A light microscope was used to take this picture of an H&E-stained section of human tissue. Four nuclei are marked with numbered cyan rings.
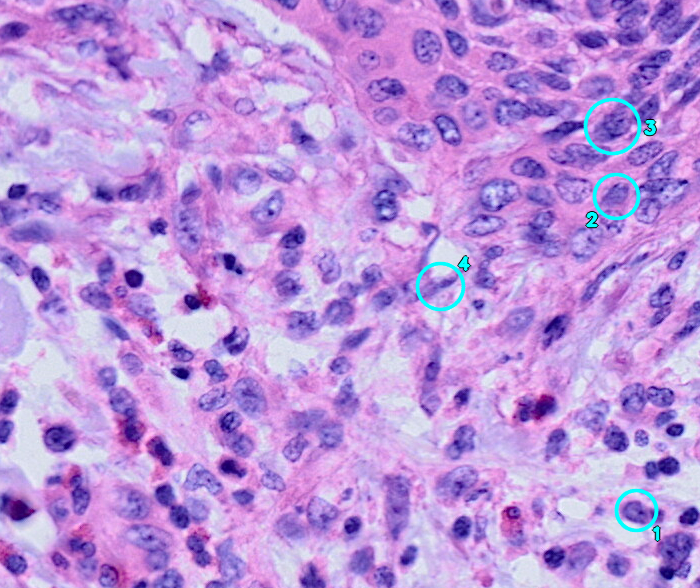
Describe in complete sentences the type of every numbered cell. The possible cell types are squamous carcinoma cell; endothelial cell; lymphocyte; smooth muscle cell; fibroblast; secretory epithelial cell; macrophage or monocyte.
Cell 1 is a macrophage or monocyte. Cells 2 and 3 are squamous carcinoma cells. Cell 4 is a fibroblast.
